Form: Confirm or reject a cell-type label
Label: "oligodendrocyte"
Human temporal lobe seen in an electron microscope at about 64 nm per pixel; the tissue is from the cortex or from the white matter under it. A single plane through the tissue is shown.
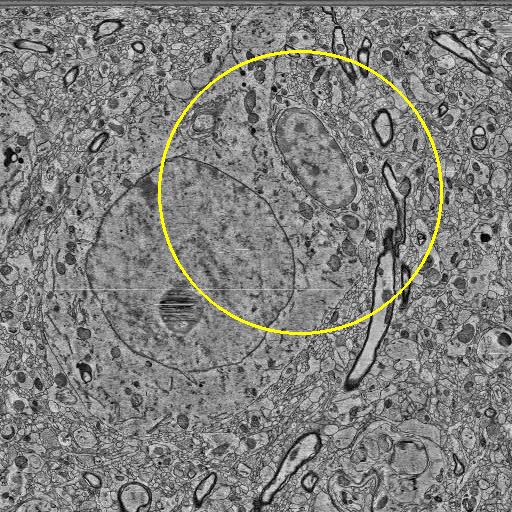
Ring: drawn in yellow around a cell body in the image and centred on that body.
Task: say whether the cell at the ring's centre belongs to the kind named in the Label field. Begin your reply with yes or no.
No, it belongs to another kind.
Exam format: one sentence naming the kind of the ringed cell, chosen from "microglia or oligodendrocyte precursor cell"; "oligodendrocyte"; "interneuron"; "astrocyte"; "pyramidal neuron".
The cell shown in the ring is a microglial cell or oligodendrocyte precursor cell.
